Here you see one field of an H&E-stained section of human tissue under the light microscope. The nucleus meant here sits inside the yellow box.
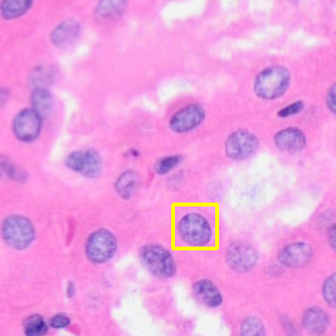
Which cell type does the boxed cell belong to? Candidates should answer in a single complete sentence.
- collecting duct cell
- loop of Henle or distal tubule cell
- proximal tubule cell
Just put down that the boxed cell is a loop of Henle or distal tubule cell.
